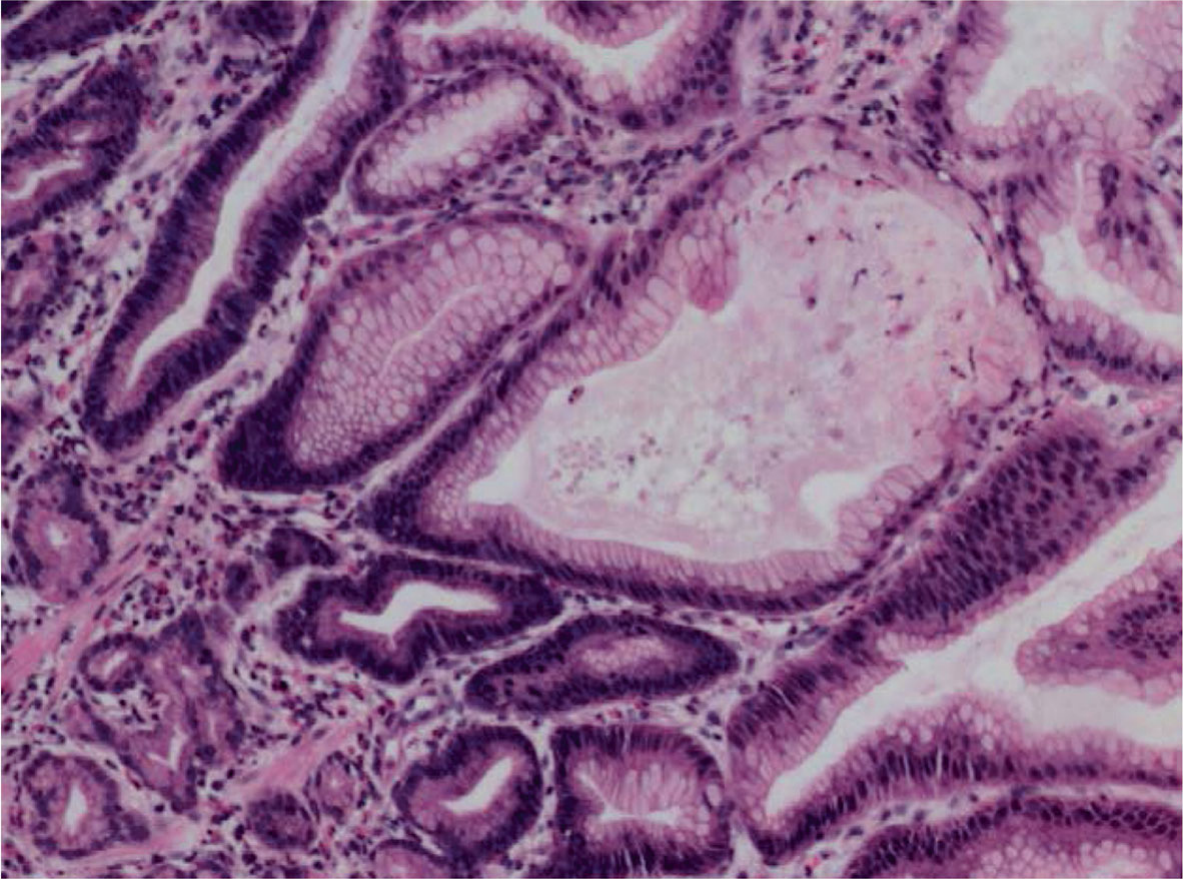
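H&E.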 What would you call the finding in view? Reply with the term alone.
foveolar hyperplasia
